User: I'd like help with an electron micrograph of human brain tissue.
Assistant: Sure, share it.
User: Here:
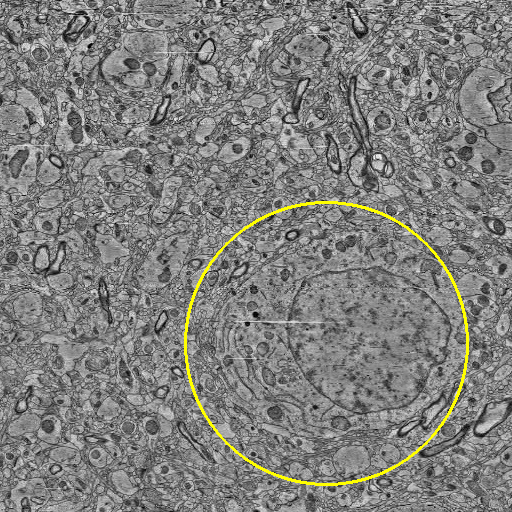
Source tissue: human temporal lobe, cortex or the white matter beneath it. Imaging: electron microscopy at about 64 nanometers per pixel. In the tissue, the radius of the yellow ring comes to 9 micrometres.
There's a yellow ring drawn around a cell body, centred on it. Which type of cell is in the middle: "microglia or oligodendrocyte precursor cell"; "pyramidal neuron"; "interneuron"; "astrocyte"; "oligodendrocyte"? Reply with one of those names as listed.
interneuron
